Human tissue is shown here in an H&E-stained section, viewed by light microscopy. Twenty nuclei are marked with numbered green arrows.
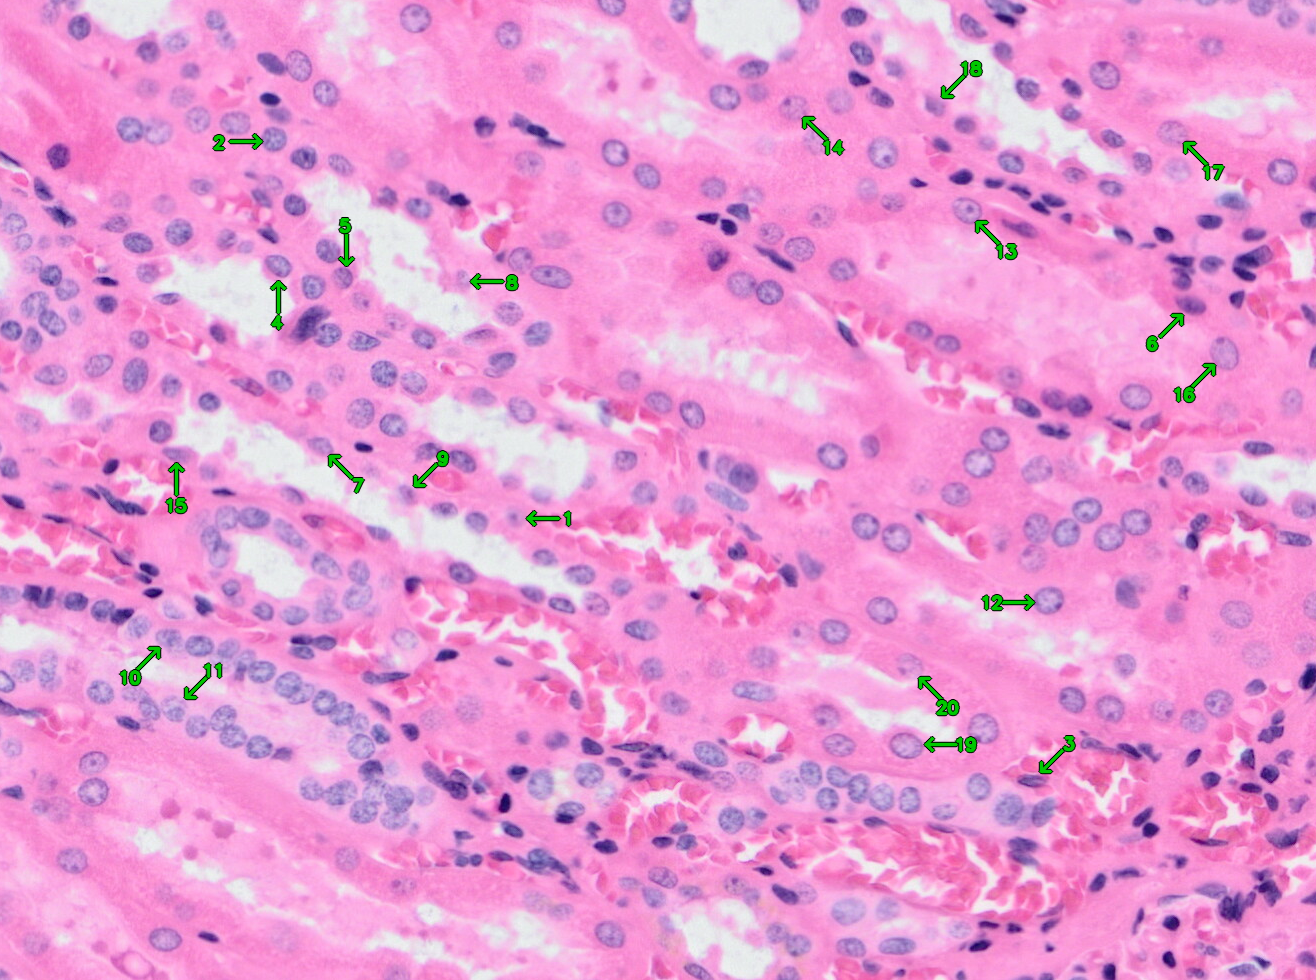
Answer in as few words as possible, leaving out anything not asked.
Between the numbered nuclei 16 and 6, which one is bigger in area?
16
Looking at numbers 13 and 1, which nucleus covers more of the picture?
13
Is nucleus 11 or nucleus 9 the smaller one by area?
9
